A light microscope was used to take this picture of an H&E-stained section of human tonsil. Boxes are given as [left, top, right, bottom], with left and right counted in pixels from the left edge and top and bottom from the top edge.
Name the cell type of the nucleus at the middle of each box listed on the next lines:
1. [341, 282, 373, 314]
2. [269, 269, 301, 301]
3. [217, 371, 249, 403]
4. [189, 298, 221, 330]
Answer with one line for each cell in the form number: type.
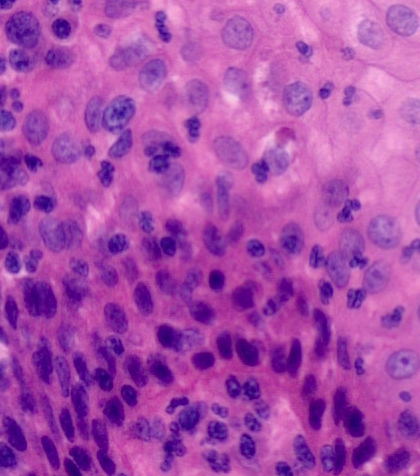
1: squamous epithelial cell
2: squamous epithelial cell
3: plasma cell
4: squamous epithelial cell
